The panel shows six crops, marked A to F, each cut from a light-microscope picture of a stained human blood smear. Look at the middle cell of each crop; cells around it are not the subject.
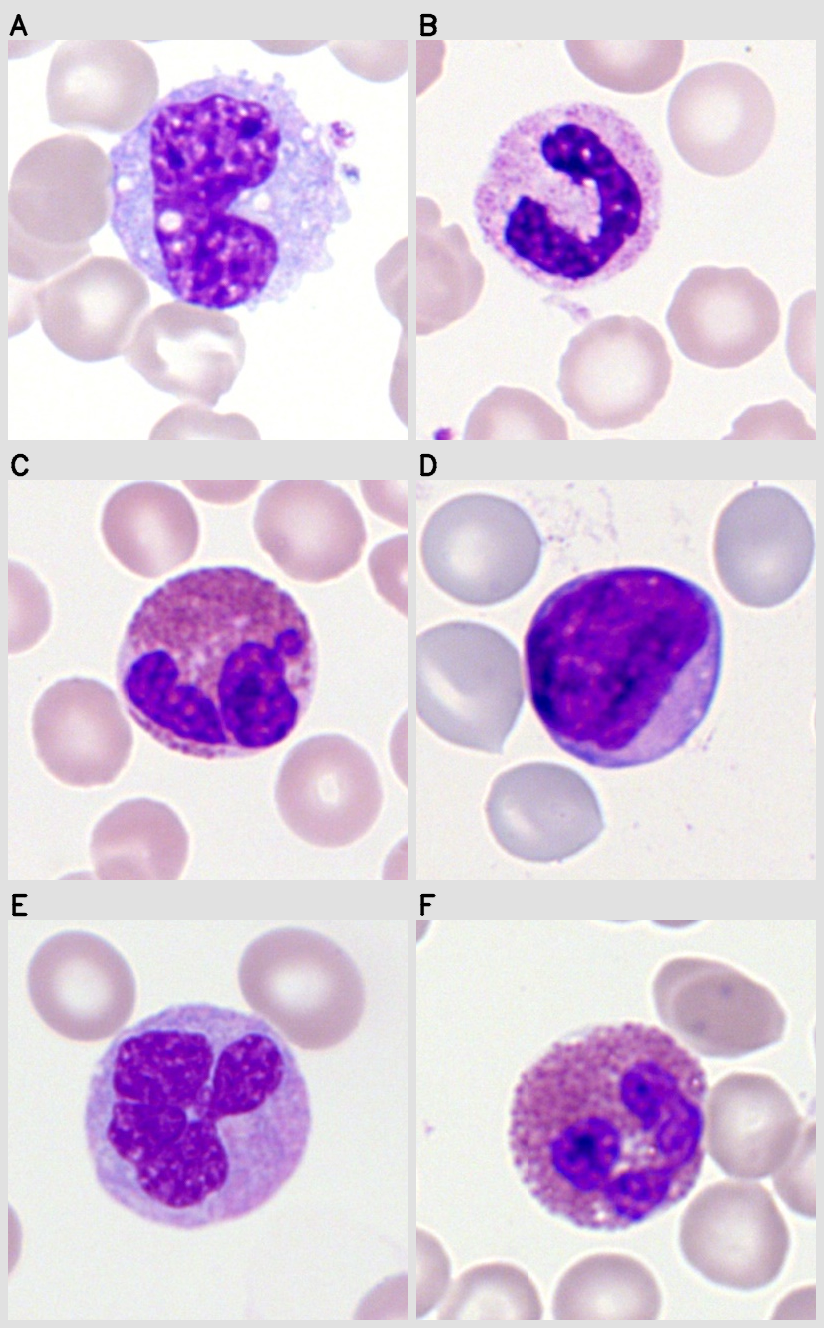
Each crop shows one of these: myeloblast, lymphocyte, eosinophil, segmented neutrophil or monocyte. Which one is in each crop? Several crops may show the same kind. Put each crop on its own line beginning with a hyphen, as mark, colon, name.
- A: monocyte
- B: segmented neutrophil
- C: eosinophil
- D: myeloblast
- E: monocyte
- F: eosinophil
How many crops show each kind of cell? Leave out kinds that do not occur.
monocyte: 2
eosinophil: 2
segmented neutrophil: 1
myeloblast: 1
